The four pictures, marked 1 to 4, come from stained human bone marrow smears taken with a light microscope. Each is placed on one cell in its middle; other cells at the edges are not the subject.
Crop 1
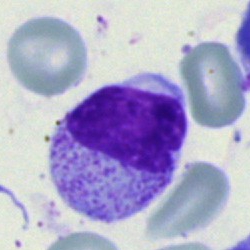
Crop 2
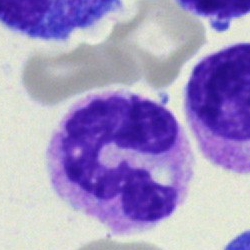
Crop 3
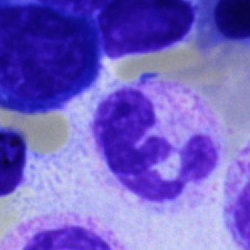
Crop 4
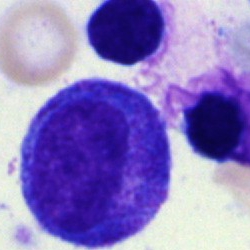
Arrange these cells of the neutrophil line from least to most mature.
4, 1, 2, 3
